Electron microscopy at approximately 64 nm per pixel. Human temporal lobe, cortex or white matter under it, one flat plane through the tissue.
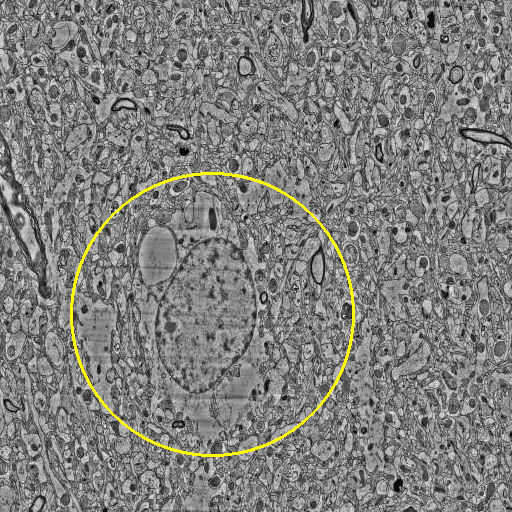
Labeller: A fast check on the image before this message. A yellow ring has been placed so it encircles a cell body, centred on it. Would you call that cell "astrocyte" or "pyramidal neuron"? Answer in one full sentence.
In this image, an astrocyte is the cell on which the yellow ring is centred.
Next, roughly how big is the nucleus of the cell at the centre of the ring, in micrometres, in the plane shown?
In this plane, about 10 by 6 micrometres: the nucleus is clearly longer than it is wide.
